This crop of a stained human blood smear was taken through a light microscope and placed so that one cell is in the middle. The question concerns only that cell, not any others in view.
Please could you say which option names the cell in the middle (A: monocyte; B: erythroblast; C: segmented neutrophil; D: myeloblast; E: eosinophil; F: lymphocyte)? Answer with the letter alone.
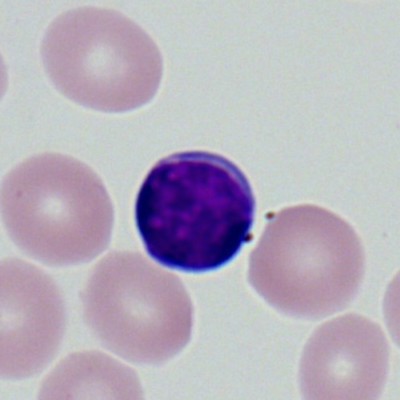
F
